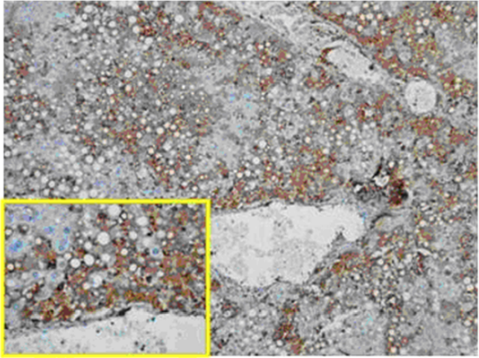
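The hepatocytes are filled with many round, clear vacuoles of varying size, giving the tissue a bubbly look, and the normal plate arrangement is hard to follow. The brown stain forms dense clusters and bands between these vacuolated cells rather than fine isolated stellate cells. A large vessel lumen runs across the field, and the enlarged inset shows the brown cells massed along its border among the vacuolated hepatocytes.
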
